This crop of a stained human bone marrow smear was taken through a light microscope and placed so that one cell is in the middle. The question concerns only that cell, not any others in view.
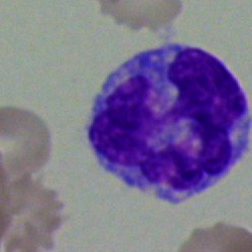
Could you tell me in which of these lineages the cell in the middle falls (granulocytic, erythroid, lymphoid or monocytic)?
monocytic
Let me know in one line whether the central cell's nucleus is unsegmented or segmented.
The nuclear outline breaks up into two or more lobes.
